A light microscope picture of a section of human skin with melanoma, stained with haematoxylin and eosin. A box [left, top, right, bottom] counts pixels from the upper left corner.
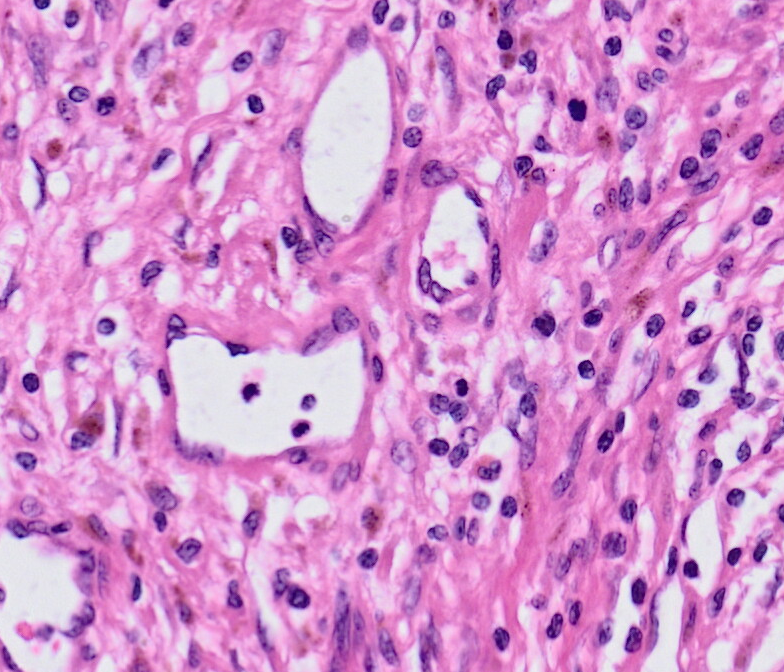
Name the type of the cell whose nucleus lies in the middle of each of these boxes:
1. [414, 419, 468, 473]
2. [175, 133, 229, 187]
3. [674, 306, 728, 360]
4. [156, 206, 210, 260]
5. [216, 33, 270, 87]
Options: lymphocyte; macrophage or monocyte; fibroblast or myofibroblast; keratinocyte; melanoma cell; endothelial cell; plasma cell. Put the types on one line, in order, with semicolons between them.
lymphocyte; fibroblast or myofibroblast; plasma cell; fibroblast or myofibroblast; lymphocyte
